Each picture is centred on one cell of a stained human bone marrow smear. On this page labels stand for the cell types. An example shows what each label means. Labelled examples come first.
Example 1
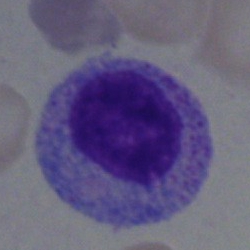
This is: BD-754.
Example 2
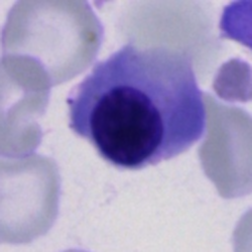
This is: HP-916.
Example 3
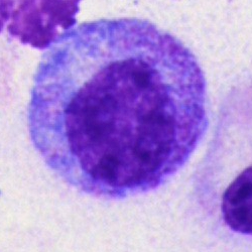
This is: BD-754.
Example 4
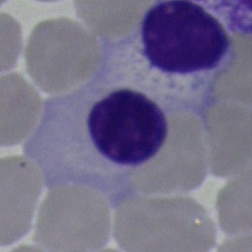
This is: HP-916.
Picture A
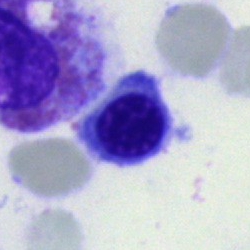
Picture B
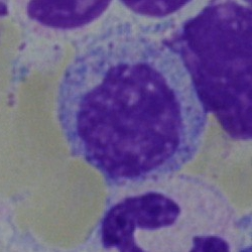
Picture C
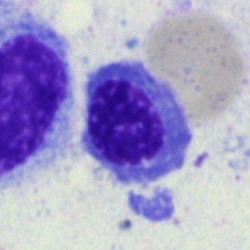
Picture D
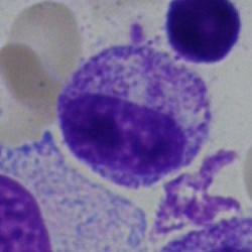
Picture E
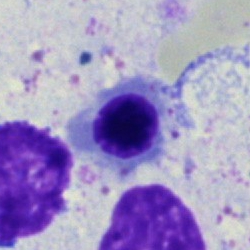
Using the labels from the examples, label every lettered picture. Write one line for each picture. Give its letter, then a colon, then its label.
A: HP-916.
B: BD-754.
C: HP-916.
D: BD-754.
E: HP-916.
